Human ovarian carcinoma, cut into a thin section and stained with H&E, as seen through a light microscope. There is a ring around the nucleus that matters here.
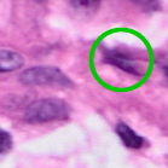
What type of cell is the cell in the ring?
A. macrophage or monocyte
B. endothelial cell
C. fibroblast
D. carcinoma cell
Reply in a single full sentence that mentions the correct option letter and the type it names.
The right pick is option B; the cell in the ring is an endothelial cell.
